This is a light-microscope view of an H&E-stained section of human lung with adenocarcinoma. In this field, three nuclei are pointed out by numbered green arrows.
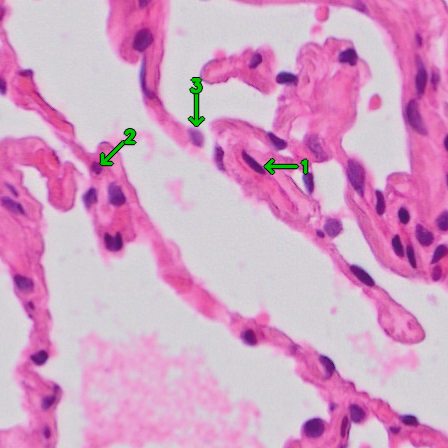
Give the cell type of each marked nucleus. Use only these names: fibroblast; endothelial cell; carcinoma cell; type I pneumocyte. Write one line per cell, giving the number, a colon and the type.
1: endothelial cell
2: endothelial cell
3: type I pneumocyte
